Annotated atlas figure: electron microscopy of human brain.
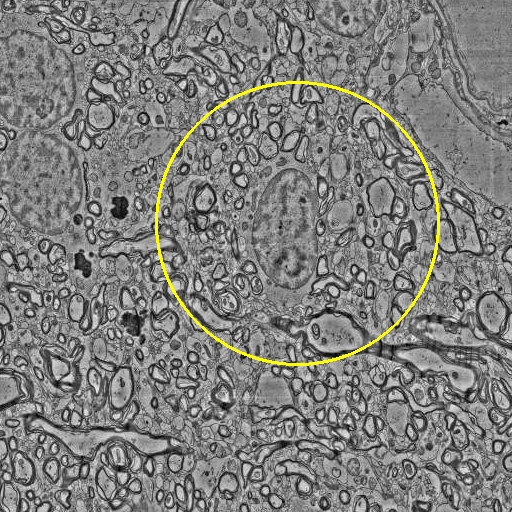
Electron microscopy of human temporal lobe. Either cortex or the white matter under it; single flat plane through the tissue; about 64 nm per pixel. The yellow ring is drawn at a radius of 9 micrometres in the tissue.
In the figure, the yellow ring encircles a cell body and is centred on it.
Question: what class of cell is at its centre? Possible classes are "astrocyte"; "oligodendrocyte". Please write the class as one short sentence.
The yellow ring is drawn around an oligodendrocyte.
